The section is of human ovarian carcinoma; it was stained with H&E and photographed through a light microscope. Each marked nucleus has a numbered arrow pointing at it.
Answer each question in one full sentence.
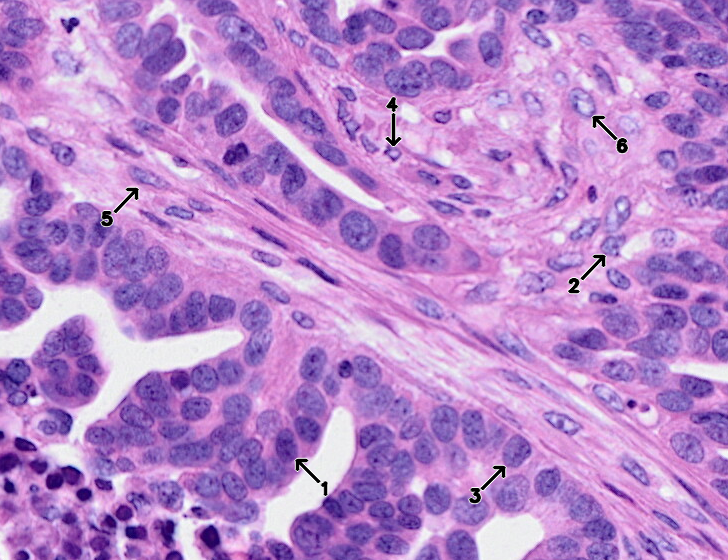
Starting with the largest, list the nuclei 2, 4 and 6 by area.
The nuclei rank 6, 2, 4, from largest to smallest.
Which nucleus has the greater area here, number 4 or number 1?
At about 4 times the area of nucleus 4, nucleus 1 is the larger of the two.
